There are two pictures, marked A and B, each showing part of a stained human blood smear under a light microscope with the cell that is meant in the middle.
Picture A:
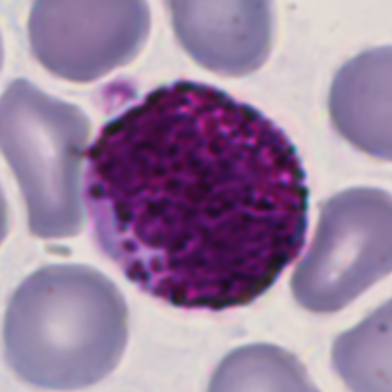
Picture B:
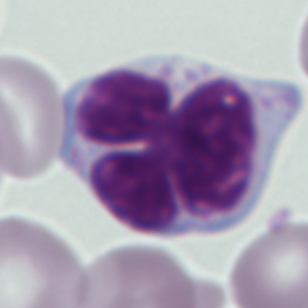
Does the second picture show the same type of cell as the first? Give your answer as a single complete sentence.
No; the cell in picture A is a basophil, while the one in picture B is a large granular lymphocyte.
